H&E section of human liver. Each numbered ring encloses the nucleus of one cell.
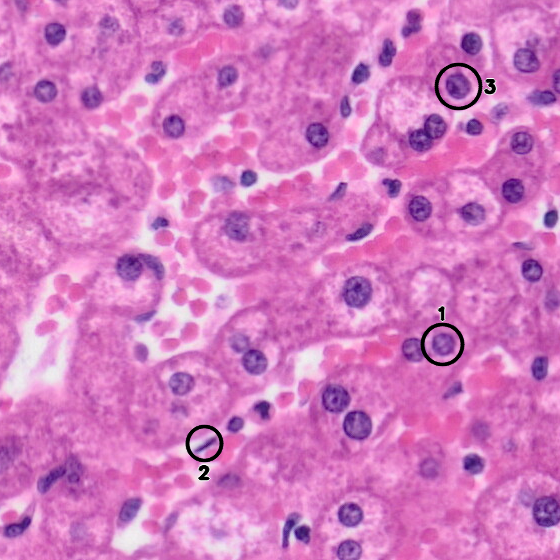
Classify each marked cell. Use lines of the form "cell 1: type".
cell 1: hepatocyte
cell 2: endothelial cell
cell 3: hepatocyte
